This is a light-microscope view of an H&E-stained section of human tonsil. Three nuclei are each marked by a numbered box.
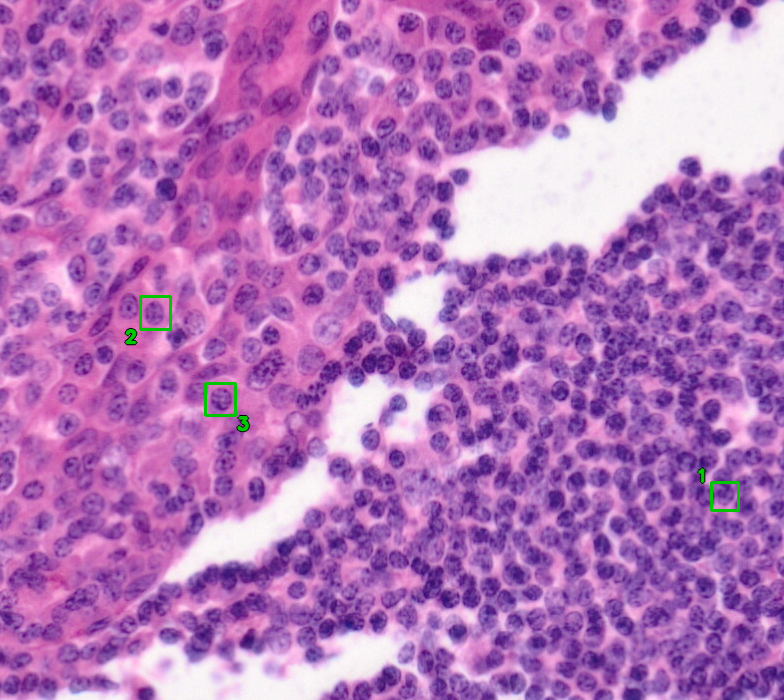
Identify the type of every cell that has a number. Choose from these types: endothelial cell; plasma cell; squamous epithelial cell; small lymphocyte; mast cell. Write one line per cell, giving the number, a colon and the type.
1: small lymphocyte
2: plasma cell
3: plasma cell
